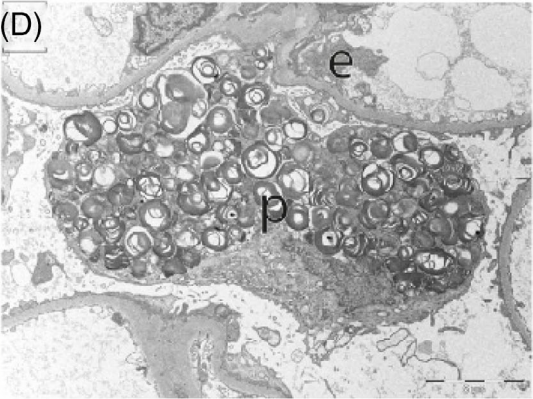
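This electron micrograph of a glomerulus shows a podocyte whose cytoplasm is crowded with multilamellar bodies. The inclusions are round, of varying size, and most are built of dark concentric layers around lighter centres, like cut onions. They fill almost the whole cell body, which forms a dense oval mass in the pale urinary space. Nearby, thin grey basement membranes outline capillary loops, and an endothelial cell lines one of them.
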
